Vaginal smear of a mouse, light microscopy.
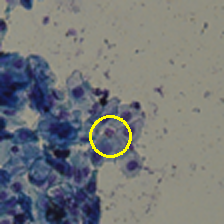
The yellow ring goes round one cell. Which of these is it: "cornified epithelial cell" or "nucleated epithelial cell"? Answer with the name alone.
nucleated epithelial cell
